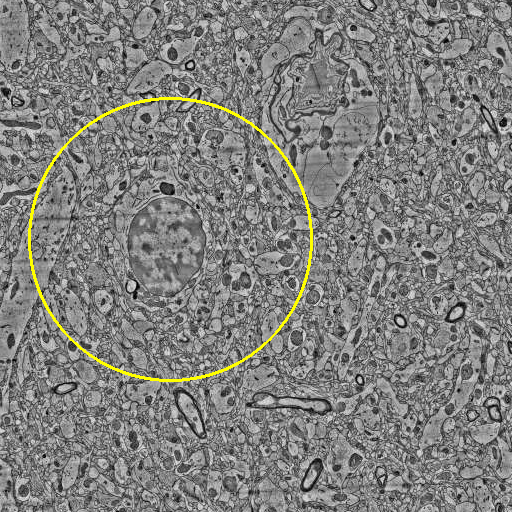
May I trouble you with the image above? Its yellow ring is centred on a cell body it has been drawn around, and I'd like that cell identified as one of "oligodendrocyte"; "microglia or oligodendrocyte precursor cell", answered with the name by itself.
microglia or oligodendrocyte precursor cell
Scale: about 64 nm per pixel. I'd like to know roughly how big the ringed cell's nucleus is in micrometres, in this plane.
In this plane, roughly 6 by 5 micrometres.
